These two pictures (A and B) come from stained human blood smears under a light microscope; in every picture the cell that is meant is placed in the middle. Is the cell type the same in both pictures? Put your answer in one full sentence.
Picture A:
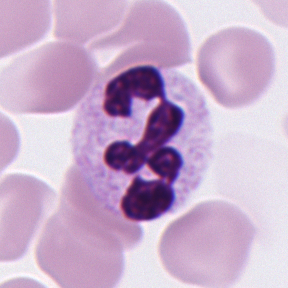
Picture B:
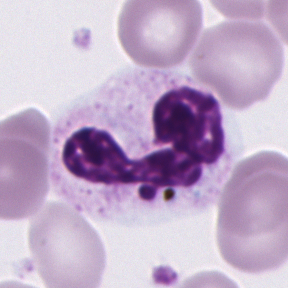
Yes, the two pictures both show segmented neutrophils.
